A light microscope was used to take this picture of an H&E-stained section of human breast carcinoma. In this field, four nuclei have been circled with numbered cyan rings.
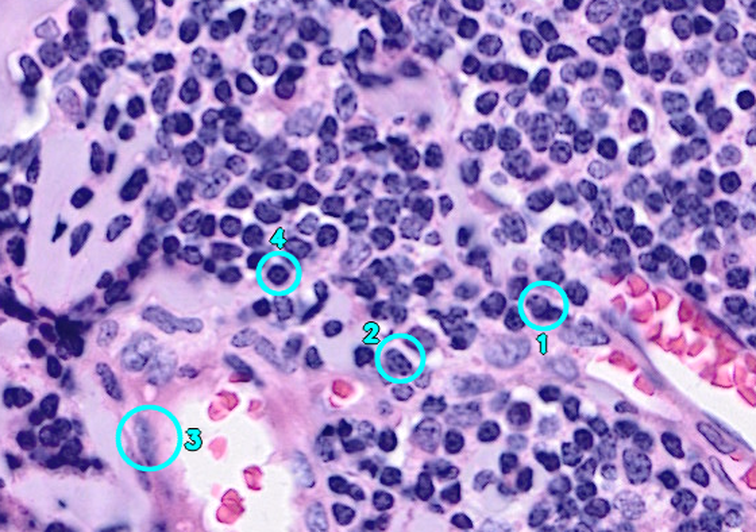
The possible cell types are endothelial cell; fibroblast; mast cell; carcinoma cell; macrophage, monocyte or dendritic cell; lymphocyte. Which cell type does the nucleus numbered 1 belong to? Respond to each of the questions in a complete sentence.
The mark numbered 1 indicates the nucleus of a lymphocyte.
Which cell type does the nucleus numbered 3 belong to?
The cell carrying label 3 is identified as an endothelial cell.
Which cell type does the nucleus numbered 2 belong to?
Identified as a lymphocyte is the cell bearing the number 2.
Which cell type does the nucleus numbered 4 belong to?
The cell given label 4 is a lymphocyte.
